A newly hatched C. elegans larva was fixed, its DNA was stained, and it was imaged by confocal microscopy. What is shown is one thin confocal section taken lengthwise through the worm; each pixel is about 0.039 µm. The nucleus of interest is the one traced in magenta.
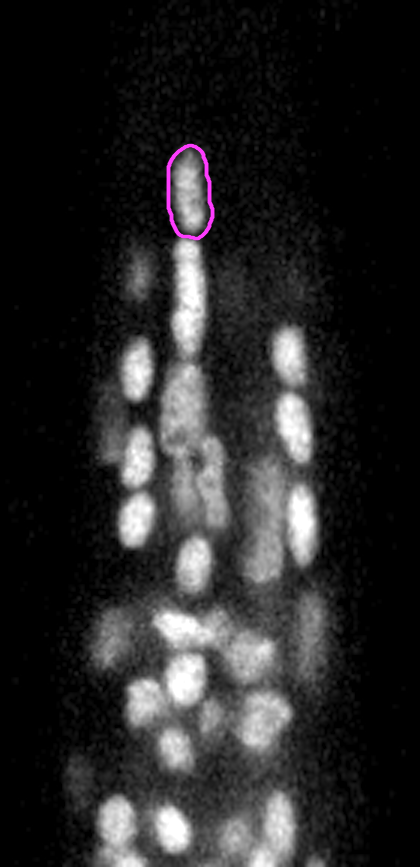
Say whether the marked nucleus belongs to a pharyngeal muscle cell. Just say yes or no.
no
